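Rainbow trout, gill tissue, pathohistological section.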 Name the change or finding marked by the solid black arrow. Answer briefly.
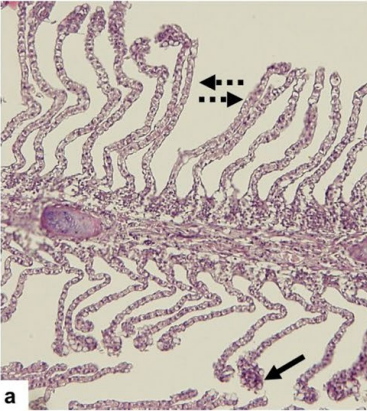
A: Hyperplasia of lamellae pinnacles.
